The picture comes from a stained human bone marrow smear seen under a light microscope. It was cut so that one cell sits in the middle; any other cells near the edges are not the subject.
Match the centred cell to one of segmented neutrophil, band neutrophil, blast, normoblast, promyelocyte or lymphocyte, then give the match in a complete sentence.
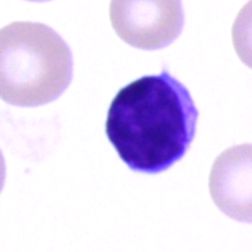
As for the cell in the middle, it is a lymphocyte.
